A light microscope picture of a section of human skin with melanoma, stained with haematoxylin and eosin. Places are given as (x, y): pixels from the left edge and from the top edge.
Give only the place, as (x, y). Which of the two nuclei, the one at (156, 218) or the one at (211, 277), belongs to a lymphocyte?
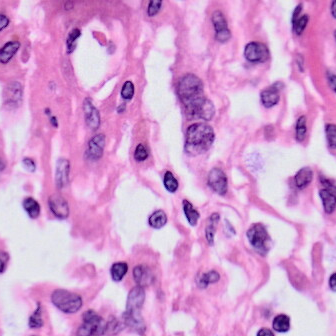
(156, 218)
